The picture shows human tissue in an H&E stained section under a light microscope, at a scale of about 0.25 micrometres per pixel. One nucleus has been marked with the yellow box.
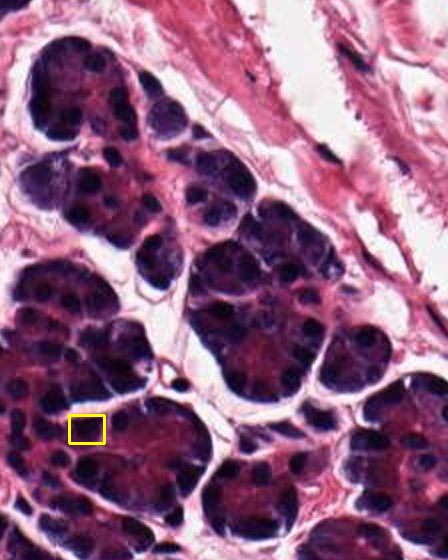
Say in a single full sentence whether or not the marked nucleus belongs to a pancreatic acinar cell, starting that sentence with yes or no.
Yes, a pancreatic acinar cell is the cell that the marked nucleus belongs to.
